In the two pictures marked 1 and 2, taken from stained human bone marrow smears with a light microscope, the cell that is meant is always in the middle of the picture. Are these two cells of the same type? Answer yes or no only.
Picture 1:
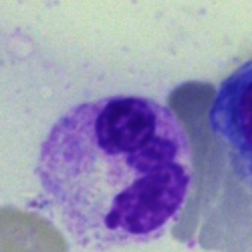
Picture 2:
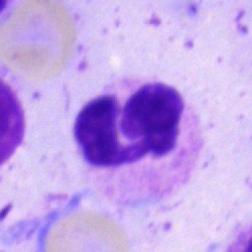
yes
